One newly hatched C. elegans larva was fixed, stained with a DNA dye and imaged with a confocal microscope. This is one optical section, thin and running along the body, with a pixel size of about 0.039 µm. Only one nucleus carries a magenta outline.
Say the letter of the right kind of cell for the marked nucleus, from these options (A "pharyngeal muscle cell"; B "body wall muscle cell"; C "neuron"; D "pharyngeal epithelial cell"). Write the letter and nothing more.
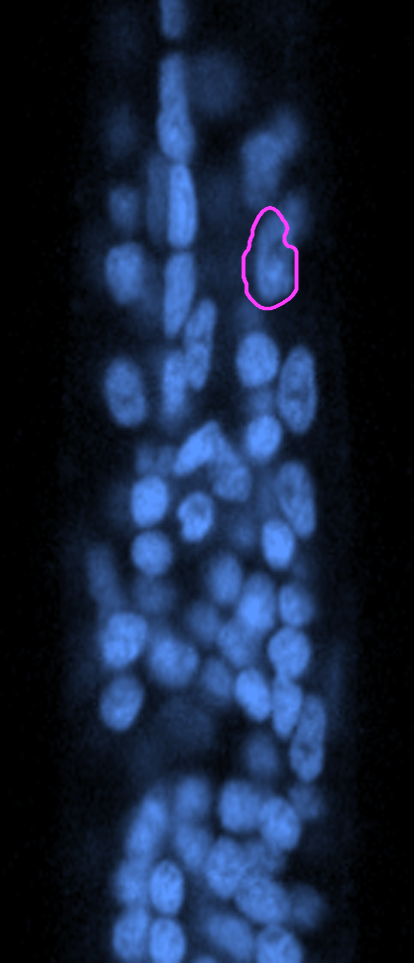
B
